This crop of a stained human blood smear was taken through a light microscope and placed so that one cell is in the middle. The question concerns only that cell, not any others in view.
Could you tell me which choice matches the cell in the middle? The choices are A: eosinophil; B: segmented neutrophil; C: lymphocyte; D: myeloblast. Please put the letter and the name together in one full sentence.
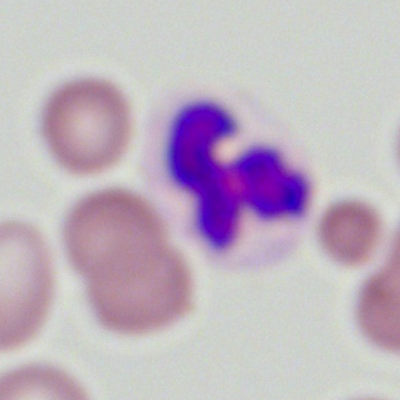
The central cell of the crop is a segmented neutrophil, which makes B the correct option.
